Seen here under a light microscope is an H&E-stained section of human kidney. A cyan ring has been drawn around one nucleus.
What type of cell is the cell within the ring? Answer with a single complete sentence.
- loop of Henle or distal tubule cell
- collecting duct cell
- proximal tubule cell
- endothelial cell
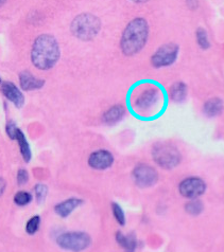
For the purposes of cell typing, the cell within the ring is categorized as a loop of Henle or distal tubule cell.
